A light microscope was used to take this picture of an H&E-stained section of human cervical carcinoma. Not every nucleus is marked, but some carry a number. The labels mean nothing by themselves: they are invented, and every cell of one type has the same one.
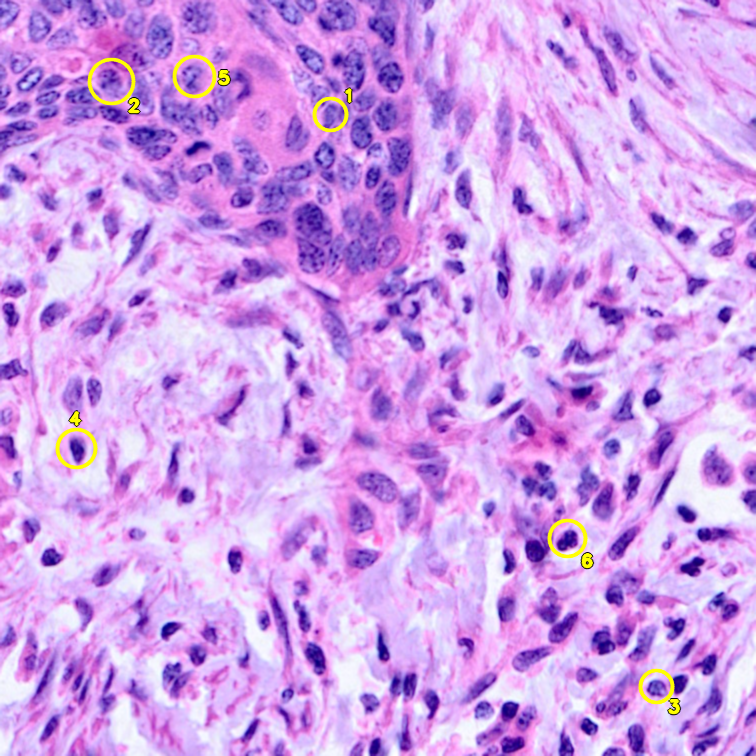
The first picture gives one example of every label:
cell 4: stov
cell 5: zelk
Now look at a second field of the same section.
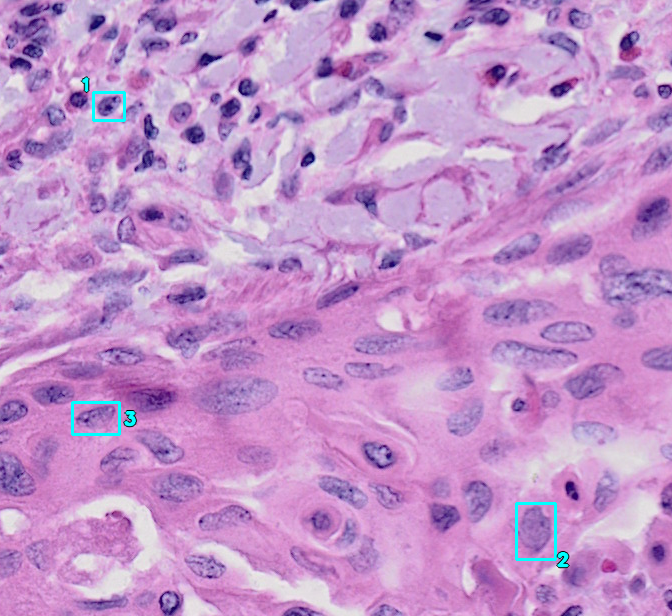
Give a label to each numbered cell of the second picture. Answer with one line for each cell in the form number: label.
1: stov
2: zelk
3: zelk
